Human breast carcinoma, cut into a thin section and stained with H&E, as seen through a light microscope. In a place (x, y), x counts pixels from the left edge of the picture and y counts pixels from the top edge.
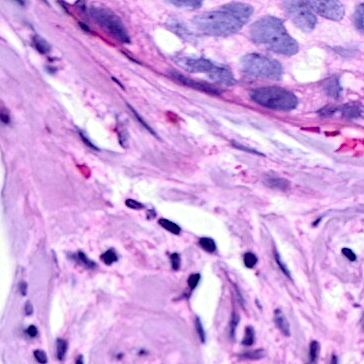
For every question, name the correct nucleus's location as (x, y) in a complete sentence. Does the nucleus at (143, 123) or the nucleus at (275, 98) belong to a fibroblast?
Which one belongs to a fibroblast? The nucleus at (143, 123) does.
